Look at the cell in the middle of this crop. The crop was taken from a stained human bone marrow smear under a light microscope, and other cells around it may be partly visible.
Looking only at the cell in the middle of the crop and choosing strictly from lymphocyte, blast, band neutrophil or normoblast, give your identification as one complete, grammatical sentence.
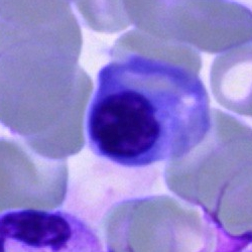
In the middle of this smear crop, the cell is a normoblast.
